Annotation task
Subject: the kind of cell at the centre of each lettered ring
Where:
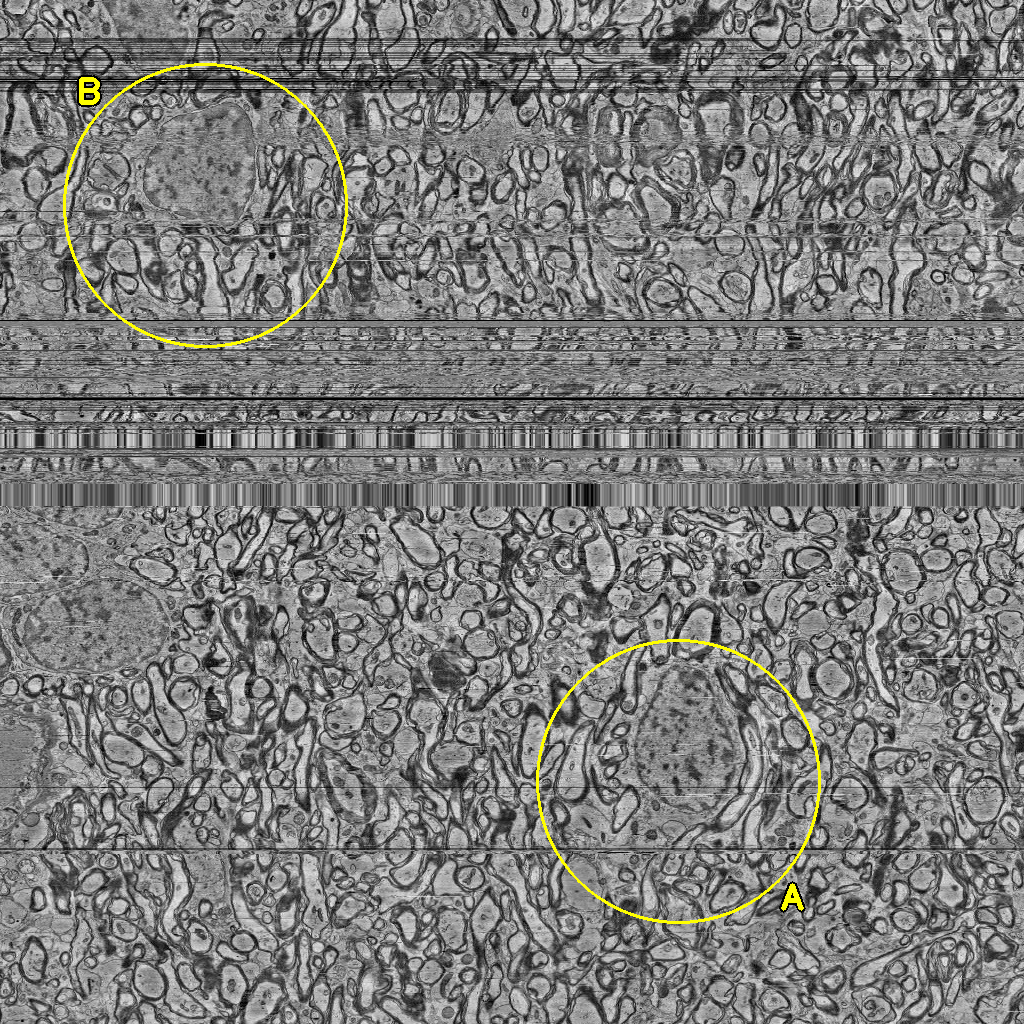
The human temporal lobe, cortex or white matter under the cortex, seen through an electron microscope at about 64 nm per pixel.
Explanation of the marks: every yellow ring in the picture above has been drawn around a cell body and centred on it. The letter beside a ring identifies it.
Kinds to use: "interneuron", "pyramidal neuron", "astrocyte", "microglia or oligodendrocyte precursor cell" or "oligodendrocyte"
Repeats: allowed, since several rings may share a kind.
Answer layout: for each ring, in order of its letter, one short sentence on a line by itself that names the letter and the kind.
The ring lettered A is drawn around an astrocyte.
The ring lettered B is drawn around a microglial cell or oligodendrocyte precursor cell.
